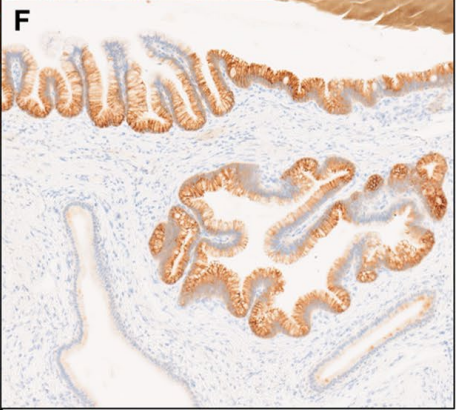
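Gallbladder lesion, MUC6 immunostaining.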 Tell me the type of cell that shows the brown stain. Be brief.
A: mucinous cells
